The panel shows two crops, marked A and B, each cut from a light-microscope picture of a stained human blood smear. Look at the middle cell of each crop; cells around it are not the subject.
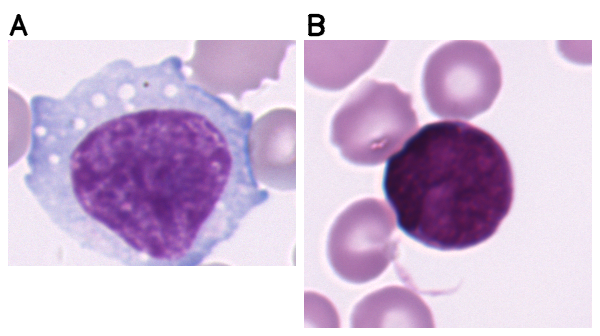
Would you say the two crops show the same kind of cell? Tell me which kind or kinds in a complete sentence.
Yes, myeloblasts lie at the centre of both crops.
